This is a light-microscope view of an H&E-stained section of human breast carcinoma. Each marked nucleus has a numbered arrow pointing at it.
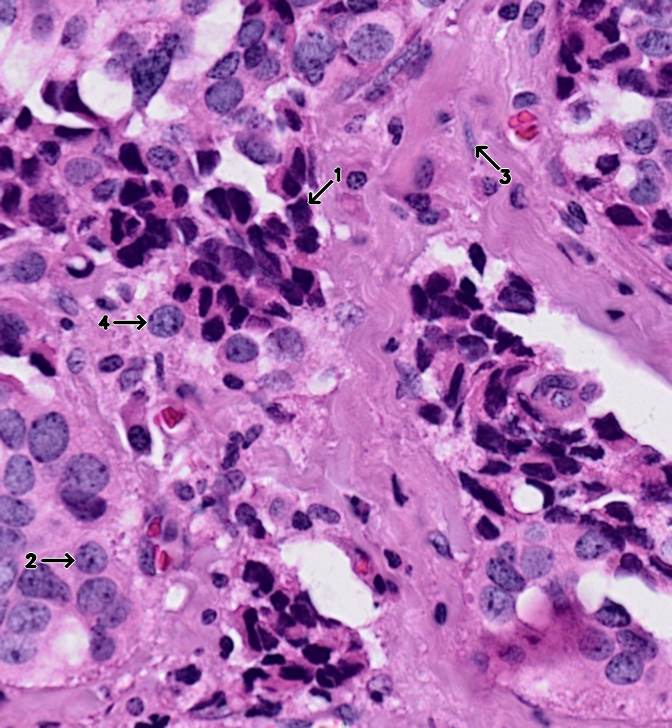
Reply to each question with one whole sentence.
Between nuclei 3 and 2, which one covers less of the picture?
It is nucleus 3; nucleus 2 has about 2 times its area.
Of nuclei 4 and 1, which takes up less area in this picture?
Number 1 is smaller, since number 4 takes up about 1.5 times as much area.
